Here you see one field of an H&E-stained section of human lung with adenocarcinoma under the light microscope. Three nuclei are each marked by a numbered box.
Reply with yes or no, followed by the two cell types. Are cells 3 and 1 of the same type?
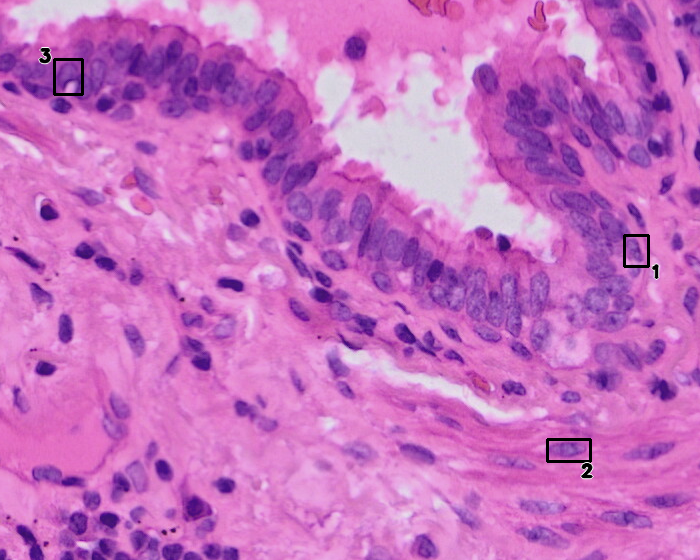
Yes, both of the numbered cells concerned, 3 and 1, are ciliated epithelial cells.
